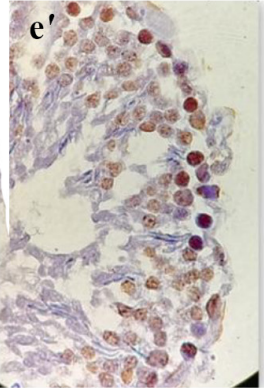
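The edge of a testicular tubule is seen at high power, with layers of round germ cell nuclei along the wall. Elongated blue profiles extend toward the lumen at the left.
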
